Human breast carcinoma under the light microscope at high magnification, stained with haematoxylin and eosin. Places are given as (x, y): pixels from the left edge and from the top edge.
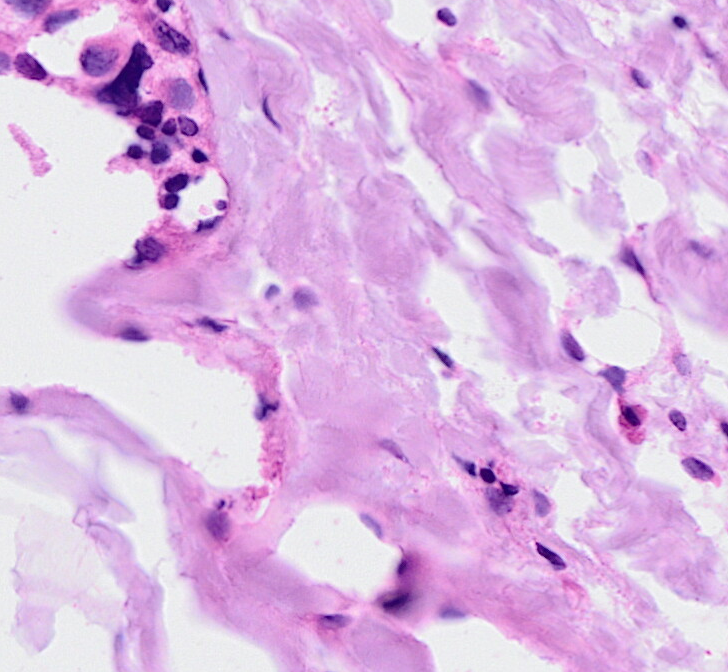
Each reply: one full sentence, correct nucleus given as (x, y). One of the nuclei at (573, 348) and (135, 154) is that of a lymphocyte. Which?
Of the two candidate nuclei, the one at (135, 154) is that of a lymphocyte.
